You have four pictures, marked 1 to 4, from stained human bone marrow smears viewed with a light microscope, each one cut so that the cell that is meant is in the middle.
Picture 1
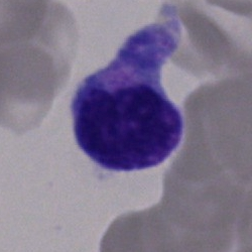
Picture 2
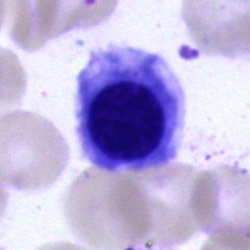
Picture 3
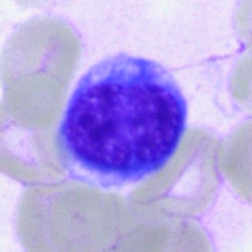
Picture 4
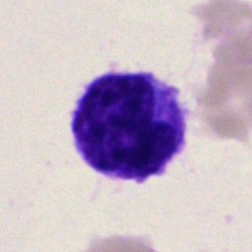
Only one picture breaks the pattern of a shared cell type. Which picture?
2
